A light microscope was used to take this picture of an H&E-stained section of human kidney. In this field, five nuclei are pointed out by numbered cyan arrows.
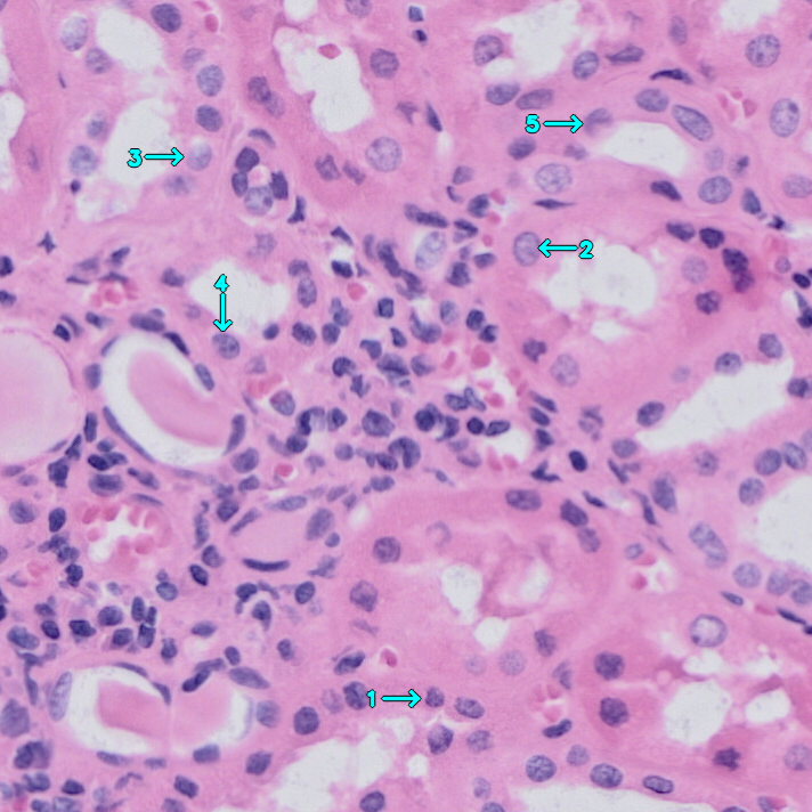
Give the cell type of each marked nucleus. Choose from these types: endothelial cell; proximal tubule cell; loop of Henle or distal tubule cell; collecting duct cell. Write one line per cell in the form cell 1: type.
cell 1: loop of Henle or distal tubule cell
cell 2: proximal tubule cell
cell 3: loop of Henle or distal tubule cell
cell 4: loop of Henle or distal tubule cell
cell 5: collecting duct cell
